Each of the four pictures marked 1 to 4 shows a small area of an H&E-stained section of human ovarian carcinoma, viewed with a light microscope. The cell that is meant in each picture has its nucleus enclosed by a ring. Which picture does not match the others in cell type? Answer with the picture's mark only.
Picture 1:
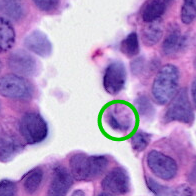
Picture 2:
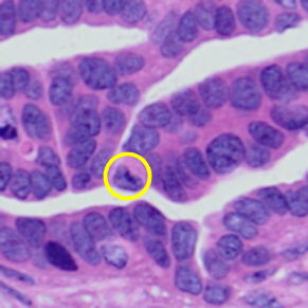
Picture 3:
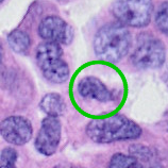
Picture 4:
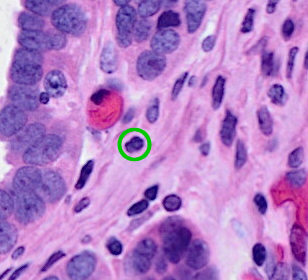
4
